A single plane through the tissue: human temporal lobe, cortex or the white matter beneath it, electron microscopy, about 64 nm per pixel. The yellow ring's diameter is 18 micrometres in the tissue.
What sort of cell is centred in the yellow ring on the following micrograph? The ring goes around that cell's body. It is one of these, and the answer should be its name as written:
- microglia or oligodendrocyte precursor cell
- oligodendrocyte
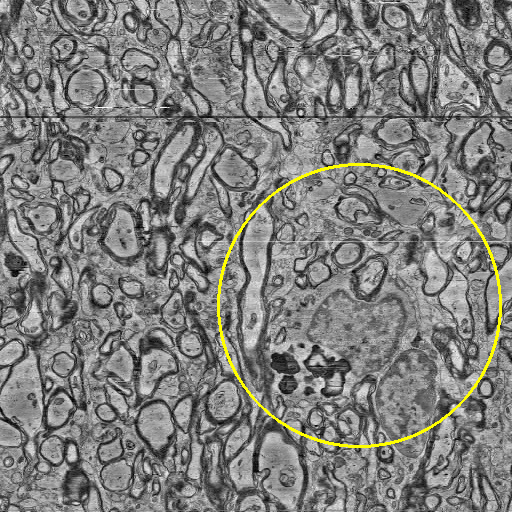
oligodendrocyte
